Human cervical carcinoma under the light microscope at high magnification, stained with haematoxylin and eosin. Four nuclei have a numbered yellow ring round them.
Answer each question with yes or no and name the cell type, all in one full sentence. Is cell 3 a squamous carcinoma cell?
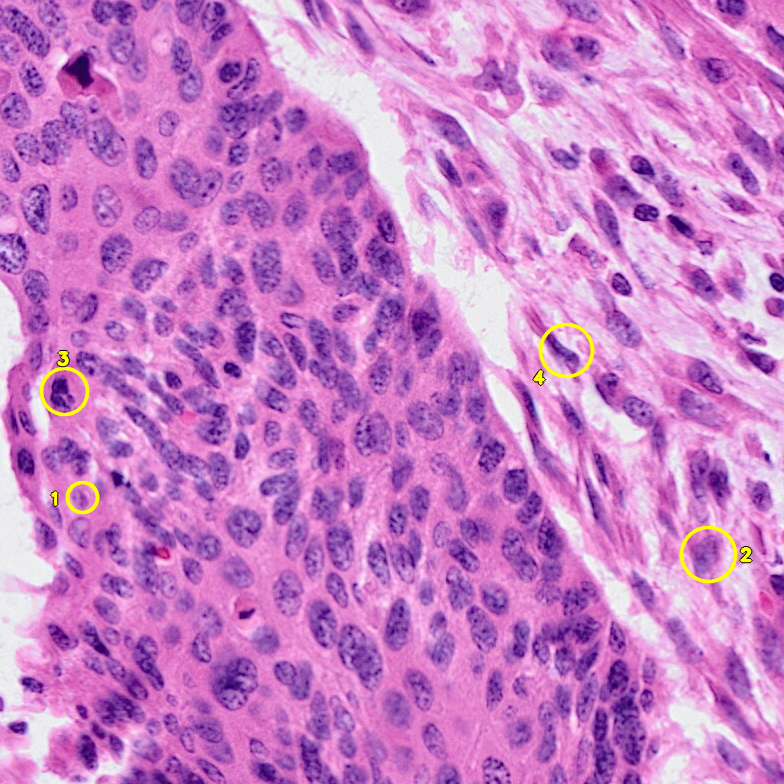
Yes, the cell with the mark numbered 3 is a squamous carcinoma cell.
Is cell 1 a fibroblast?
No, the cell under number 1 is a squamous carcinoma cell, not a fibroblast.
